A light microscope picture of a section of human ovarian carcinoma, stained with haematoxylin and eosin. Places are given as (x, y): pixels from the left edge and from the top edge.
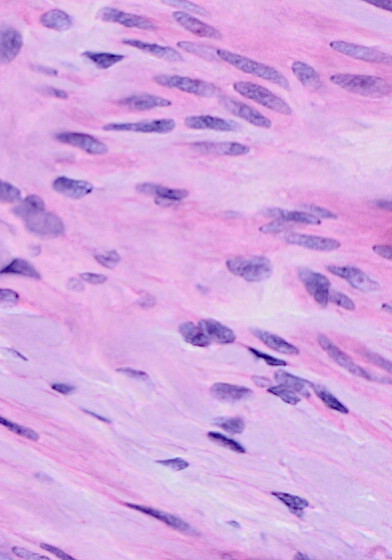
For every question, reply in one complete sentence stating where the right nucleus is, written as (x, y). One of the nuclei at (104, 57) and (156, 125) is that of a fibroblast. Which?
The nucleus of a fibroblast is the one at (104, 57).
